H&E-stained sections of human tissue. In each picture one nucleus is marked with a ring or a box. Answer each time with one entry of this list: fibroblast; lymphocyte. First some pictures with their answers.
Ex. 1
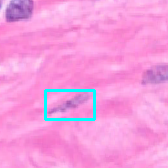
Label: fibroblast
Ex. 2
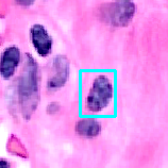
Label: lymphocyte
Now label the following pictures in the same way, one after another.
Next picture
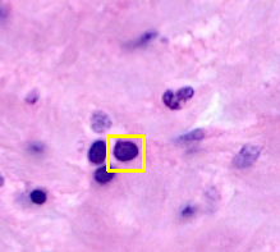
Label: lymphocyte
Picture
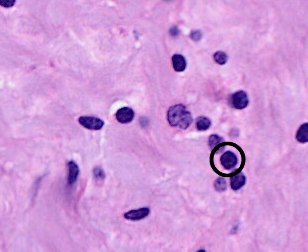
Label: lymphocyte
